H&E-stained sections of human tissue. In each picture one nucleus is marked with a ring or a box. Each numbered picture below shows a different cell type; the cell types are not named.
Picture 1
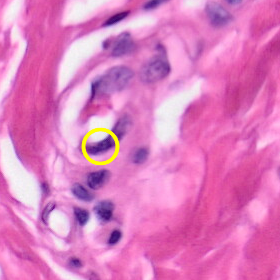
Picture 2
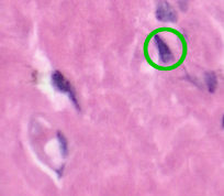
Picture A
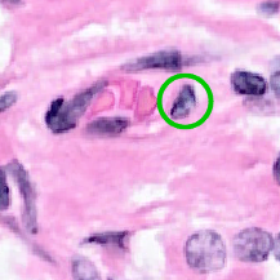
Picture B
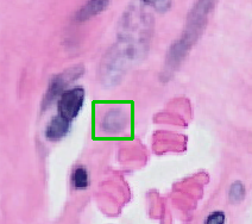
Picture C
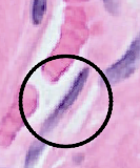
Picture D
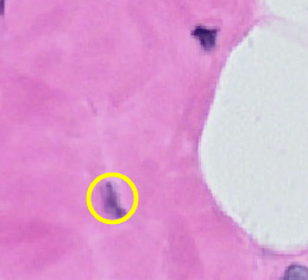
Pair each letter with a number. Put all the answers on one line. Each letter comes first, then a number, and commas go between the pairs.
A 1, B 1, C 1, D 2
